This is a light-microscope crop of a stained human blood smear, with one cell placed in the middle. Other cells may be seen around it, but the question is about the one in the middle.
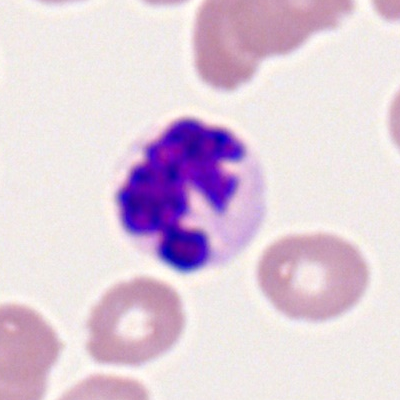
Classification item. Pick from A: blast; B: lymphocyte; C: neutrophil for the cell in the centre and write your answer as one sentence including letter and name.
In the centre of the crop there is a neutrophil, making option C correct.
